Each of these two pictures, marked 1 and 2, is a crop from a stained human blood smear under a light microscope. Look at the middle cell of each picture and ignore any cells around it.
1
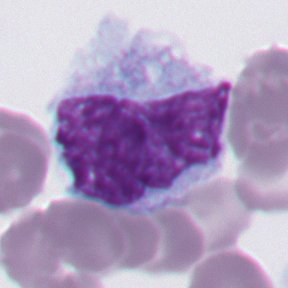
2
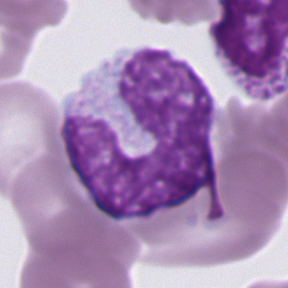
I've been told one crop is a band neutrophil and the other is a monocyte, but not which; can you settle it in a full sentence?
Crop 2 is a band neutrophil, while crop 1 is a monocyte.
